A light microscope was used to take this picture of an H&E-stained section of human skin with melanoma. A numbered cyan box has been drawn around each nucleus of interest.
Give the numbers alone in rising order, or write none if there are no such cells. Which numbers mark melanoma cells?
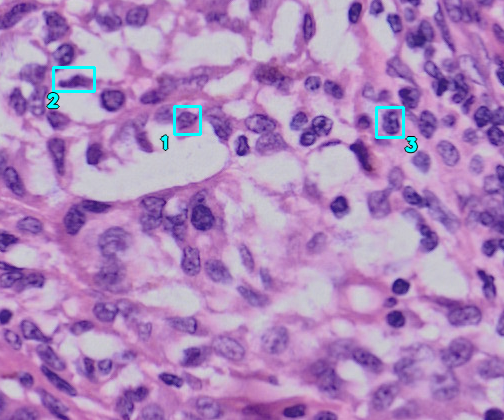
1, 2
